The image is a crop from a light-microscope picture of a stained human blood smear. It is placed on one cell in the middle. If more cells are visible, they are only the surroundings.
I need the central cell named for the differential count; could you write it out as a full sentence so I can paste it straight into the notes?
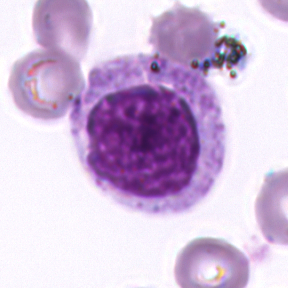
Standing at the centre of this crop is a myelocyte.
